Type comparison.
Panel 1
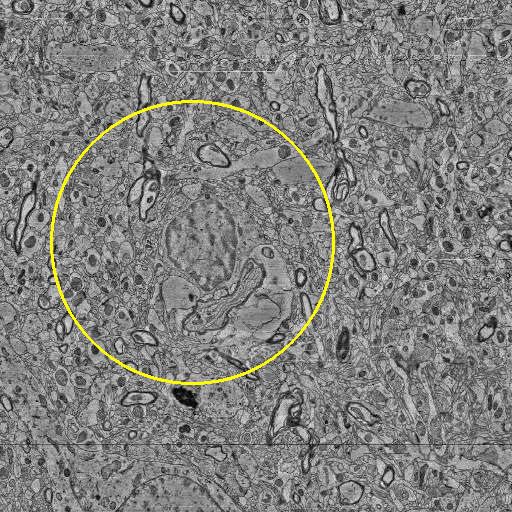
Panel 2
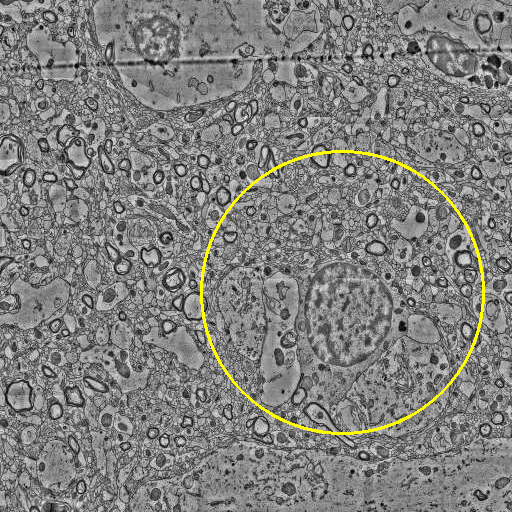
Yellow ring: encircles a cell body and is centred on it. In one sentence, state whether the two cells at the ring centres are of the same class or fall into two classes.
In these panels, the two cells at the ring centres are of the same class.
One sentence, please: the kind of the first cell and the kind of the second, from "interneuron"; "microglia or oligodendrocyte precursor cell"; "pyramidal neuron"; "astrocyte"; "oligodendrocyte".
In each picture the ringed cell is an oligodendrocyte.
